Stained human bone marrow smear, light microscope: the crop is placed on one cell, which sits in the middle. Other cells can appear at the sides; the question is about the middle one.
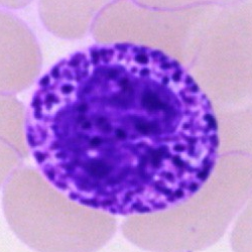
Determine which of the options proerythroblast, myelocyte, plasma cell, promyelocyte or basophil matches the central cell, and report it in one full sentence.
The centrally located cell in the crop is a basophil.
